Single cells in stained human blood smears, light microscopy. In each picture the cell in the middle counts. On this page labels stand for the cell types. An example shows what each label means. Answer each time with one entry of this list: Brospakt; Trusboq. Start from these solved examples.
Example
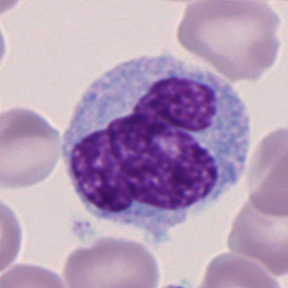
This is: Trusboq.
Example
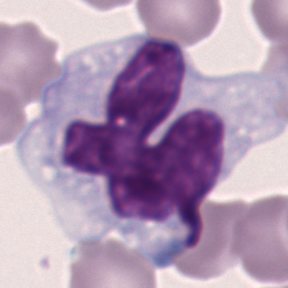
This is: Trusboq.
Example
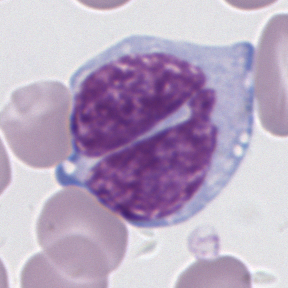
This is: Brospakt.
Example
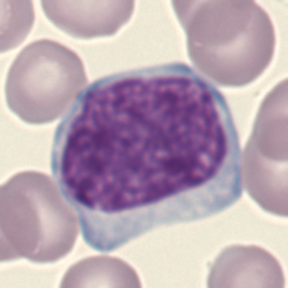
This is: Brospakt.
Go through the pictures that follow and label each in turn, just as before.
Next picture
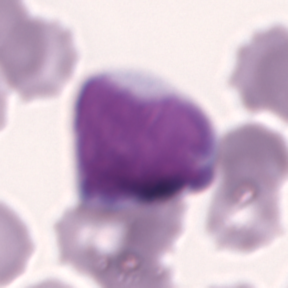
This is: Brospakt.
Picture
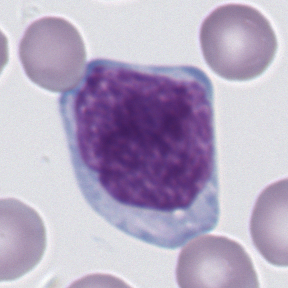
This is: Brospakt.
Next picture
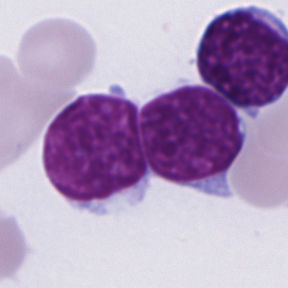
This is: Brospakt.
